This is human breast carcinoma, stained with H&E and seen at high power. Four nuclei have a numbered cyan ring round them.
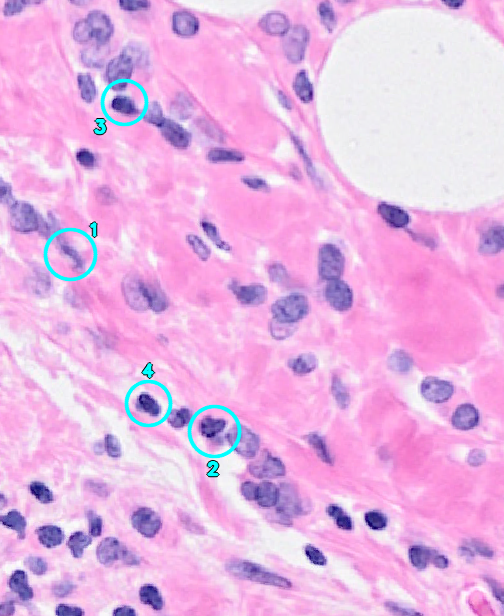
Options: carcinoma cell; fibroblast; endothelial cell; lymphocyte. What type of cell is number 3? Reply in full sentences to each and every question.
The cell identified by number 3 is a lymphocyte.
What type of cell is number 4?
The correct label for cell 4 is a lymphocyte.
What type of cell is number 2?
Corresponding to a lymphocyte is the cell labelled 2.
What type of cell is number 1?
In the tissue shown, cell 1 is a fibroblast.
